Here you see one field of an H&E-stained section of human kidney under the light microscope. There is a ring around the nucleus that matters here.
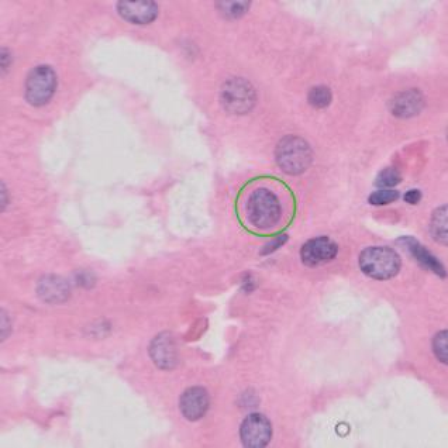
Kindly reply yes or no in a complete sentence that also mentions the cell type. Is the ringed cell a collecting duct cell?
No, sorry, but the ringed cell is a proximal tubule cell and not a collecting duct cell.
